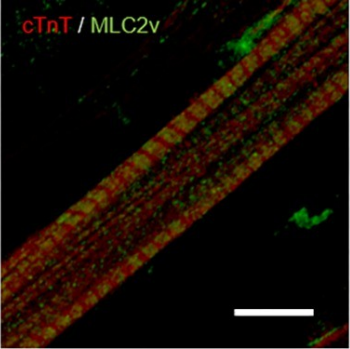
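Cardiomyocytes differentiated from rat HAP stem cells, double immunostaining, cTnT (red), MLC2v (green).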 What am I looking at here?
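A long, straight striated cardiac muscle fibre crosses the field diagonally, built of several parallel myofibril bundles. Along its whole length, narrow red bands alternate regularly with green-speckled bands, giving a fine ladder-like cross-striation. A few small green patches lie outside the fibre against the dark background.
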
